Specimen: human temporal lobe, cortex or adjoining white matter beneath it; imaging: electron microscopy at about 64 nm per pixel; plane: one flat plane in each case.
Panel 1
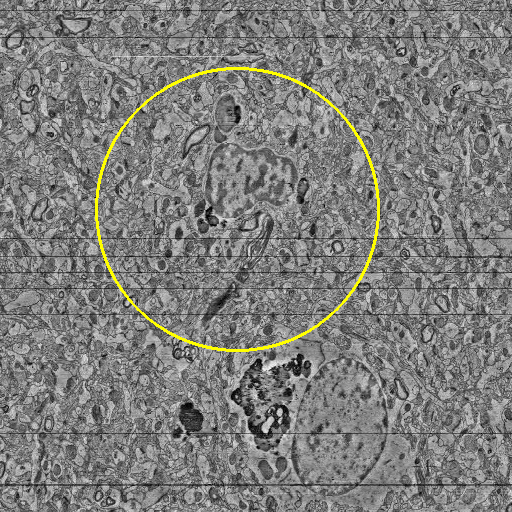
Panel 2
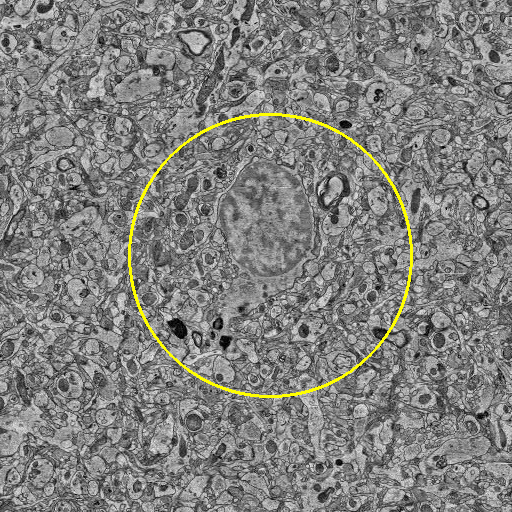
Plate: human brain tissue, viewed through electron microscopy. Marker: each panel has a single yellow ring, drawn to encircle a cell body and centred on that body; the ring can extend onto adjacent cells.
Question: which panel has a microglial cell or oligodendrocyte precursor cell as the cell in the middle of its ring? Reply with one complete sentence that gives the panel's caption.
Panel 1 is where the requested cell sits at the centre of the ring.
